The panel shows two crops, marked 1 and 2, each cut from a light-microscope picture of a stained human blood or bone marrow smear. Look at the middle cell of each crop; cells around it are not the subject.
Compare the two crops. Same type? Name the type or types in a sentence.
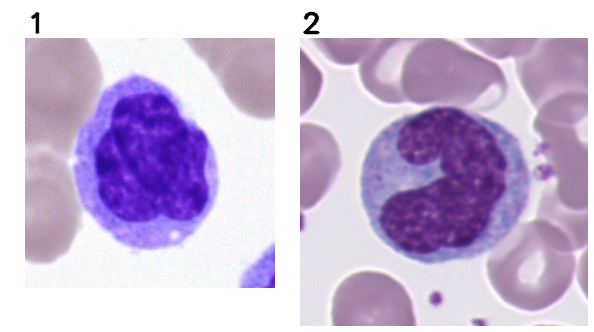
Yes, in the middle of both crops, monocytes are shown.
